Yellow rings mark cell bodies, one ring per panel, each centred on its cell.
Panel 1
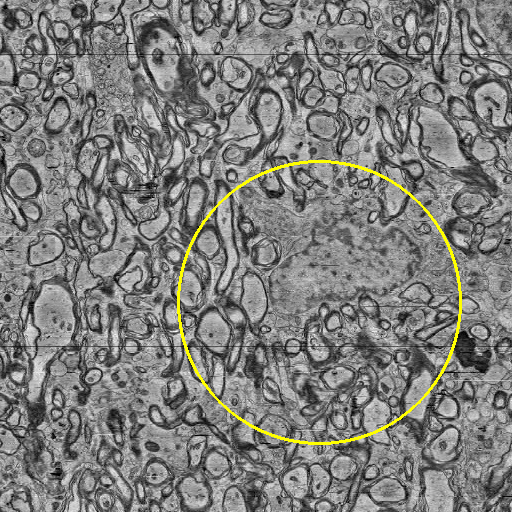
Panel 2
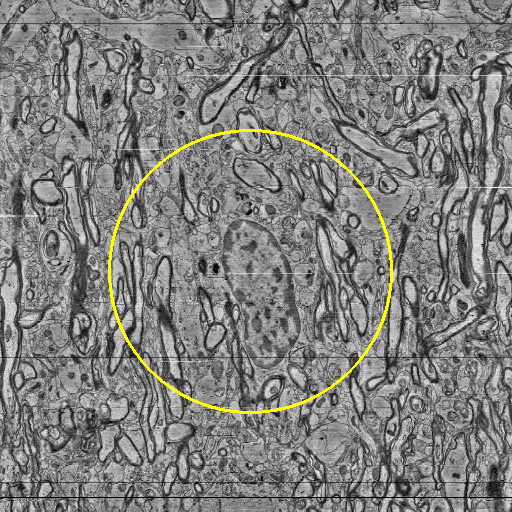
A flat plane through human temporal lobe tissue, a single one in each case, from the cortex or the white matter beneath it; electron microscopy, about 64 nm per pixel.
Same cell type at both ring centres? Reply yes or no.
yes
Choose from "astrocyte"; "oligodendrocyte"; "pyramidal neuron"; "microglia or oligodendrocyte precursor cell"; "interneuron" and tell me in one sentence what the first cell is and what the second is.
Each cell, in the first picture and the second, is a microglial cell or oligodendrocyte precursor cell.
